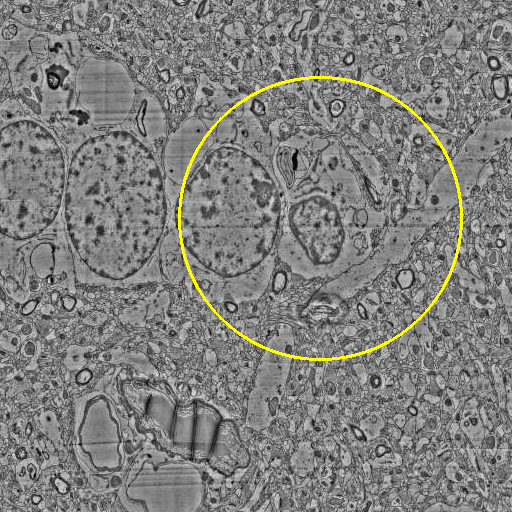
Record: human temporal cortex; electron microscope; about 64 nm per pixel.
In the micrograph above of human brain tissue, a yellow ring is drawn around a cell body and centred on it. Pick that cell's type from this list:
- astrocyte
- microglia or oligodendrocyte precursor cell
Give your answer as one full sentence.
Going by the list, an astrocyte is the cell on which the yellow ring is centred.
